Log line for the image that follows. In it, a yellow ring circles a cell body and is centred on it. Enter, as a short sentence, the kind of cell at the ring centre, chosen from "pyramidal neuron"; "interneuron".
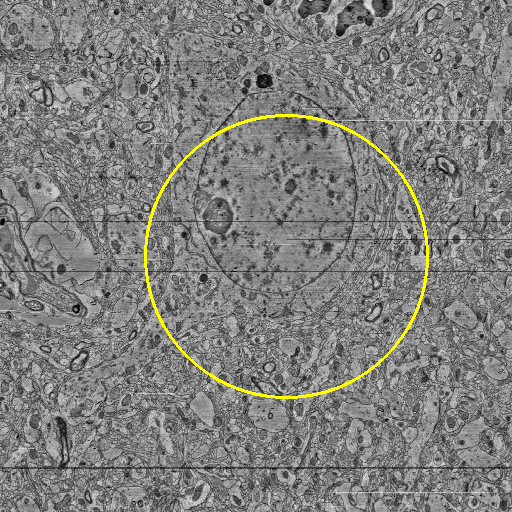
The ring centre is occupied by a pyramidal neuron.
